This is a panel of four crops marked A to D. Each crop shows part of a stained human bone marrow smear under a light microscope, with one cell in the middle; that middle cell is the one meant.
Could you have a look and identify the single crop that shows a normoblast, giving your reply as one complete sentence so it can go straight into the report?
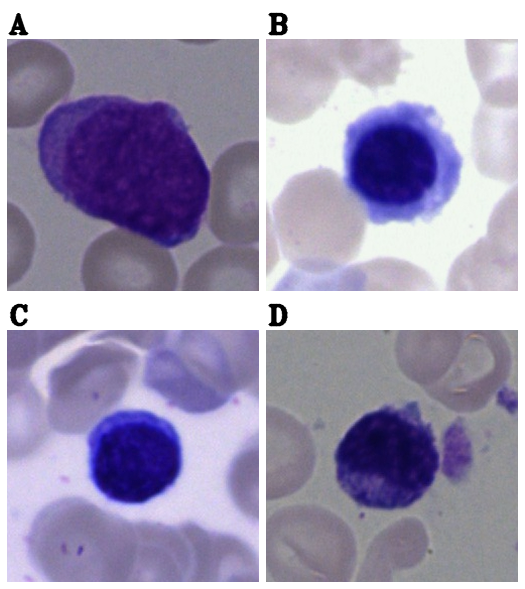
So the crop with a normoblast at its center is crop B.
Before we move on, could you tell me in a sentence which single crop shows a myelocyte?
It is in crop D, among all the crops, that a myelocyte is present.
